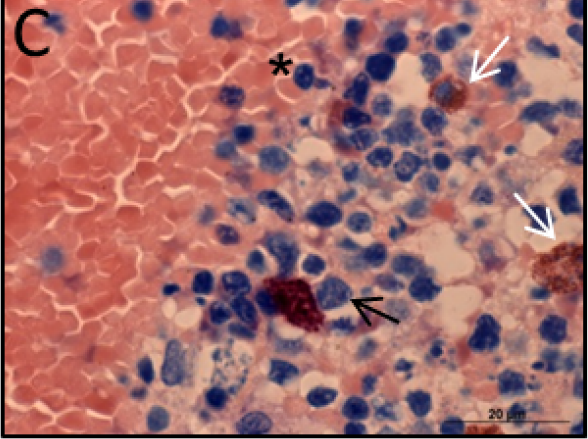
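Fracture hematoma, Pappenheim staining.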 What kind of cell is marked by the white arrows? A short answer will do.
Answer: Eosinophil granulocyte.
